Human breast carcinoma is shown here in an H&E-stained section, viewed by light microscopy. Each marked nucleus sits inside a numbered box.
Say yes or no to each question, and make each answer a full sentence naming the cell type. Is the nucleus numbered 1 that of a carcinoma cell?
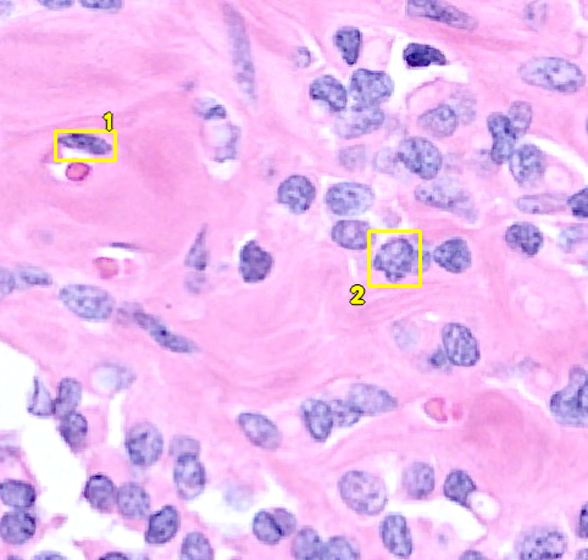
No, cell 1 is an endothelial cell; it is not a carcinoma cell.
